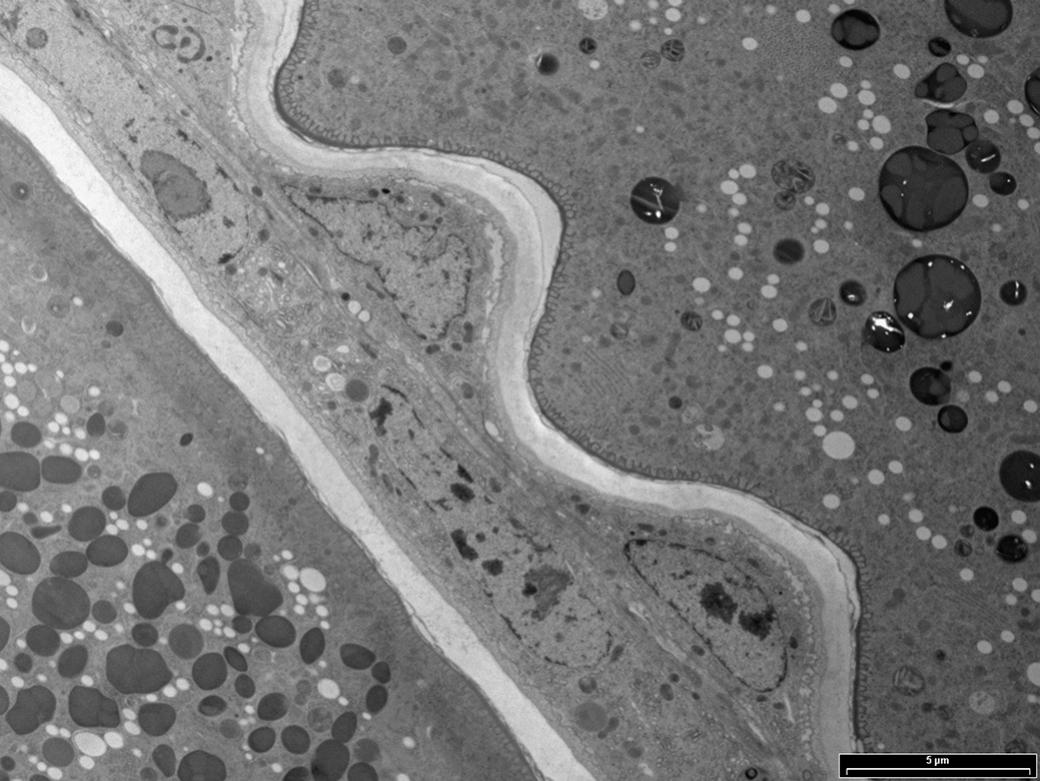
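This transmission electron micrograph shows two large oocytes at left and right, separated by a thin central sheet of follicle cells and bands of developing eggshell. The oocyte cytoplasm is packed with round inclusions: dark, dense yolk-like bodies of varying size and many small pale droplets. The right oocyte has a wavy surface fringed with fine microvilli facing a pale, electron-lucent layer. The follicle cells in the middle are flattened and elongated along the layer, with oval to elongated nuclei showing clumped dark chromatin. Pale bands of forming eggshell material lie on both sides of this cell layer, between it and each oocyte.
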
